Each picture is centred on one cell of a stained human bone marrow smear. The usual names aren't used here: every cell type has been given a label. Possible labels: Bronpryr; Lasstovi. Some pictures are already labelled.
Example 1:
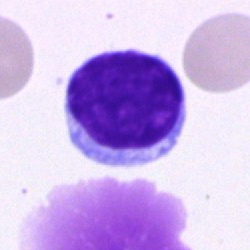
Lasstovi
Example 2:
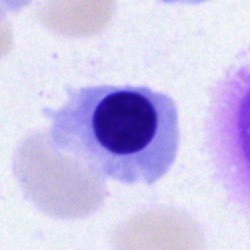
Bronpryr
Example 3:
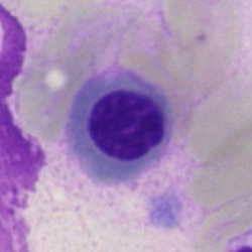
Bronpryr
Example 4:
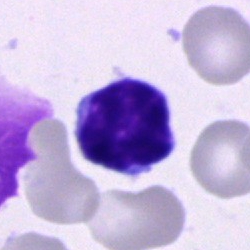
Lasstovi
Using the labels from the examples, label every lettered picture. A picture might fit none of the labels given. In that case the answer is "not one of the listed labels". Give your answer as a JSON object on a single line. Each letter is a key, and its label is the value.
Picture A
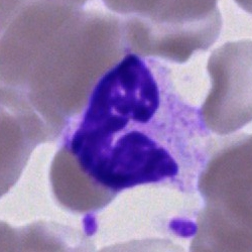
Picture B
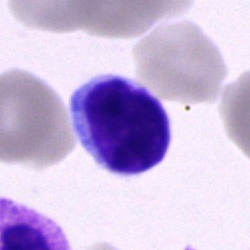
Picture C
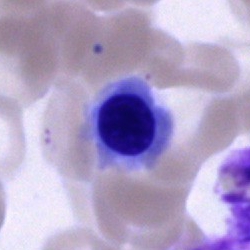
{"A": "not one of the listed labels", "B": "Lasstovi", "C": "Bronpryr"}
